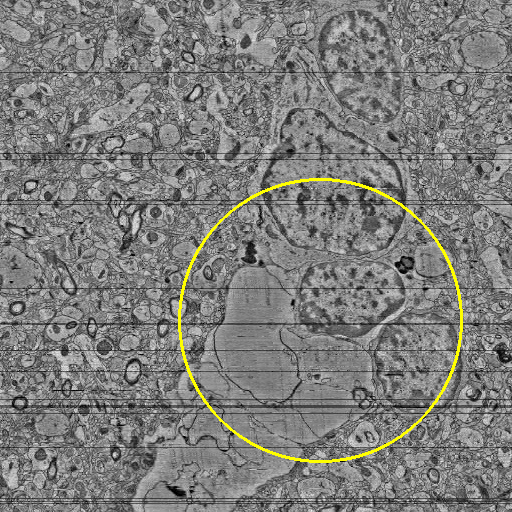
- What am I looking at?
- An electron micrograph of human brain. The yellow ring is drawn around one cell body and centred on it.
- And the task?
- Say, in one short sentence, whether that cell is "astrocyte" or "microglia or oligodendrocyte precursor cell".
The cell in the middle of the ring is a microglial cell or oligodendrocyte precursor cell.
